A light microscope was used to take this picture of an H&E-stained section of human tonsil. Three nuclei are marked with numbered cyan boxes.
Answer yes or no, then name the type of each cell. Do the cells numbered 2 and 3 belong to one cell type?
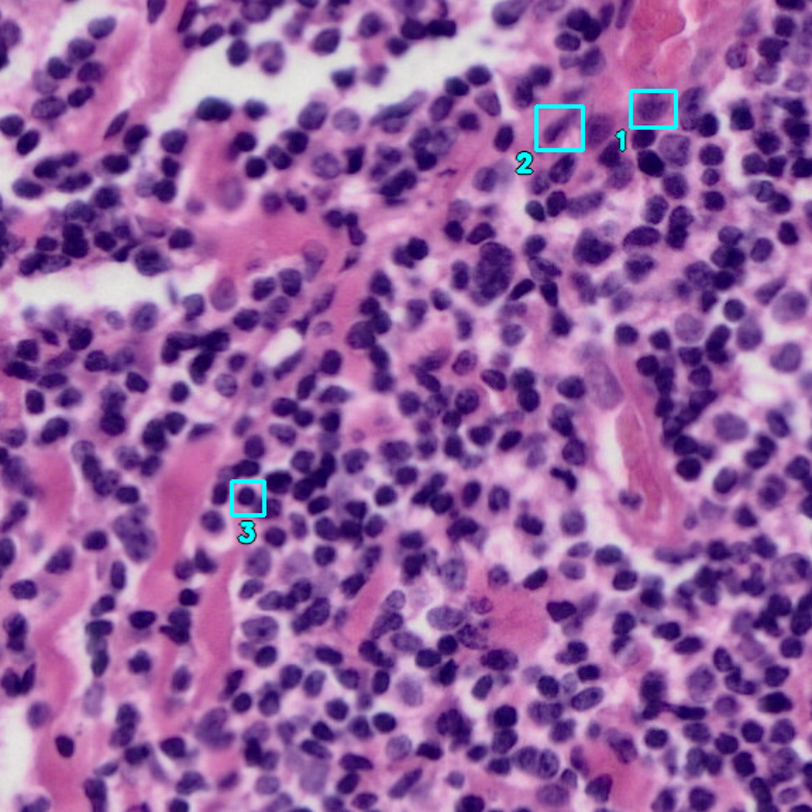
No, cell 2 is an endothelial cell and cell 3 is a small lymphocyte.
